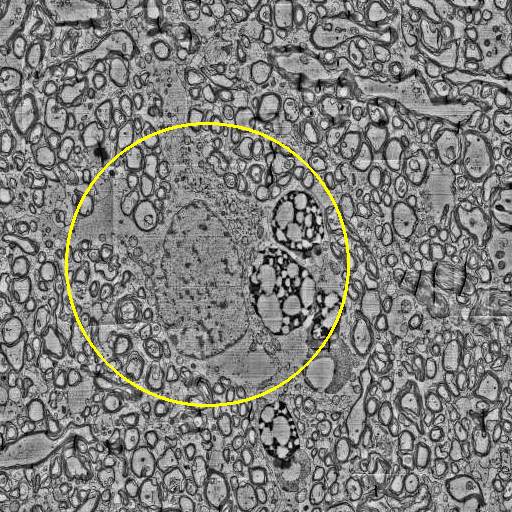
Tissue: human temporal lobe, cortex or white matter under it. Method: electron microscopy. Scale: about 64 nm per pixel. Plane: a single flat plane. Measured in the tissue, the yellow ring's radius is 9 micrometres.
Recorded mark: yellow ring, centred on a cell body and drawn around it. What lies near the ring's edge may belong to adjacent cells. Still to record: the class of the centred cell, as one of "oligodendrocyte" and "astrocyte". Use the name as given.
astrocyte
